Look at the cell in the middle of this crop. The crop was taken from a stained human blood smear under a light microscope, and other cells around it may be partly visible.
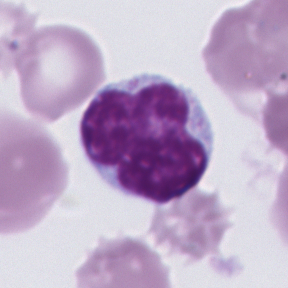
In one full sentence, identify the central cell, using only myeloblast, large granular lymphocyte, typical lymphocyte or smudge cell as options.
The crop shows a typical lymphocyte in its centre.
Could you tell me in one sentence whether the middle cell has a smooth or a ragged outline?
Smooth edges only, with no spikes, blebs, or other projections.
